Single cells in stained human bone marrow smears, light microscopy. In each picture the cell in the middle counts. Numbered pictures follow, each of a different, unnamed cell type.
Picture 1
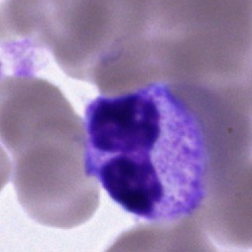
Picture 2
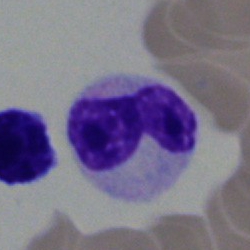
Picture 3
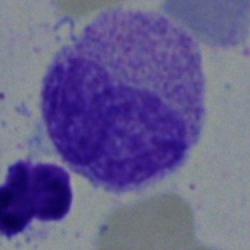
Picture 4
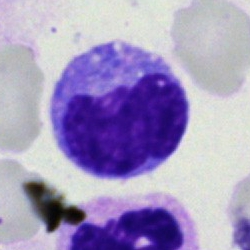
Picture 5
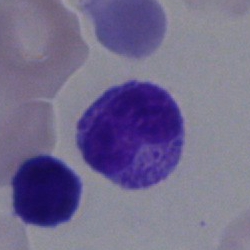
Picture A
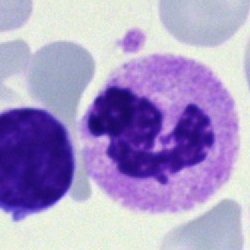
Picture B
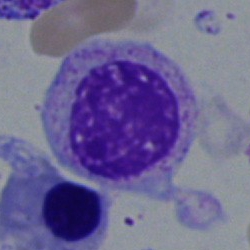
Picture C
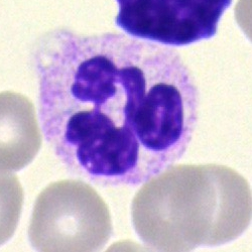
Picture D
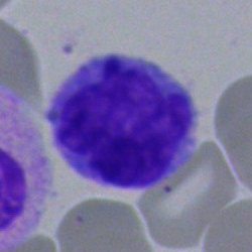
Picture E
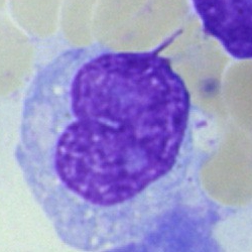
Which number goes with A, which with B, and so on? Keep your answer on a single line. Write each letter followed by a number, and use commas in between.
A 1, B 3, C 1, D 4, E 4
